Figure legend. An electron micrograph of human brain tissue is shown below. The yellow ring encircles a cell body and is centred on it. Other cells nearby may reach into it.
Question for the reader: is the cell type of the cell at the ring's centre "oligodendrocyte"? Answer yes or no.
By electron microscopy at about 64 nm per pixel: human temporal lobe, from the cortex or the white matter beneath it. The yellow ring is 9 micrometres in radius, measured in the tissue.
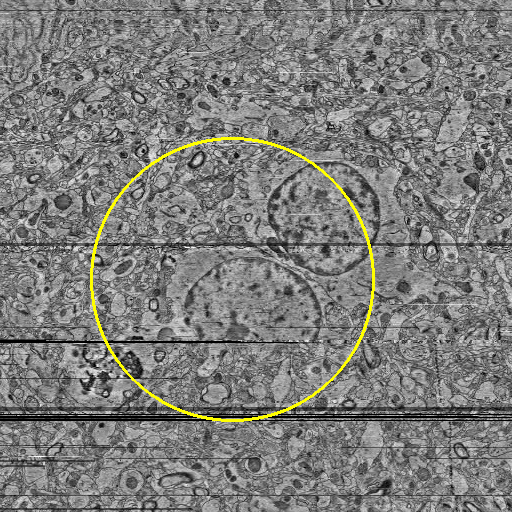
no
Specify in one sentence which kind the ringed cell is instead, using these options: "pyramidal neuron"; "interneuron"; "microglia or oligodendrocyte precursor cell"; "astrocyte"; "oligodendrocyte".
Instead, the ring surrounds an astrocyte in this picture.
